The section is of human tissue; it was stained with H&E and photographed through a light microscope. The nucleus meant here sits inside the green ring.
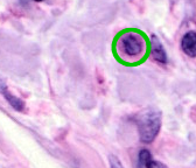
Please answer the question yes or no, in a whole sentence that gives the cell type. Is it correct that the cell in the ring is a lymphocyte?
No, the cell in the ring is not a lymphocyte; a mast cell is what it is.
